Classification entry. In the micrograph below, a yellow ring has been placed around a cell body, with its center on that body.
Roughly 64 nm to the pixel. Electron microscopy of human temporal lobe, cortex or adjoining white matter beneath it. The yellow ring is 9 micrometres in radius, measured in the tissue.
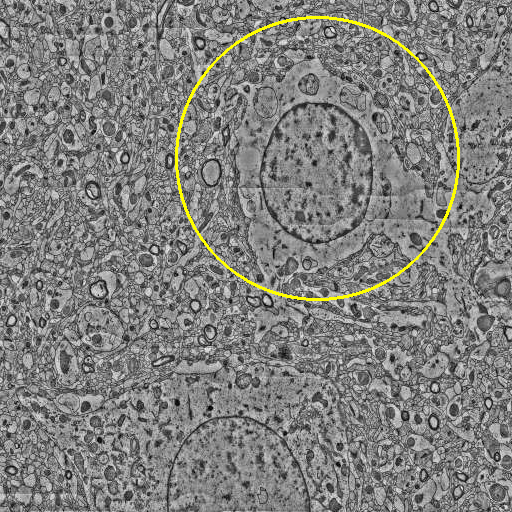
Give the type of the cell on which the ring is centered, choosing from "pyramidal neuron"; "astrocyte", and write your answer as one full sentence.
The cell body at the center of the yellow ring belongs to an astrocyte.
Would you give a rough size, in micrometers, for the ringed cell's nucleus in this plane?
Approximately 9 micrometres long and 7 micrometres wide, in this plane.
